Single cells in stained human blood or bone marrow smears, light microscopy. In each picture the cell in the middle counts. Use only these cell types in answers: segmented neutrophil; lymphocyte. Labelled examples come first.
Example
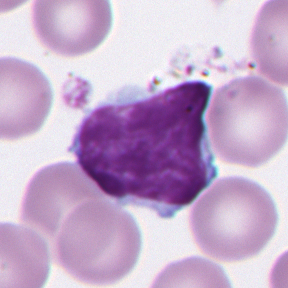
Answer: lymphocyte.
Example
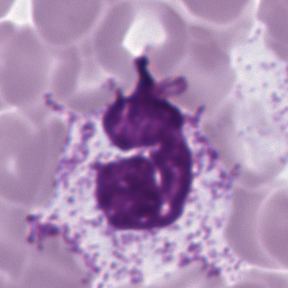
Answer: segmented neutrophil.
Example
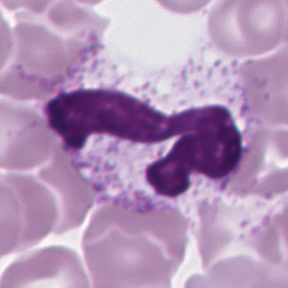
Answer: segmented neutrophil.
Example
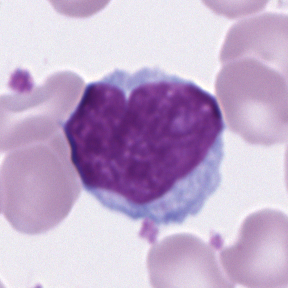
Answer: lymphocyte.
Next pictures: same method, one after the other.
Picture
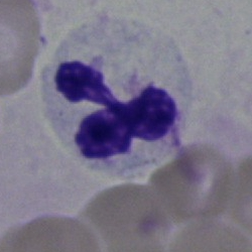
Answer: segmented neutrophil.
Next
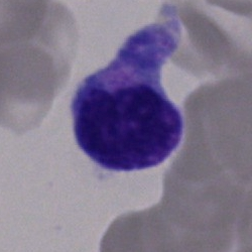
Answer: lymphocyte.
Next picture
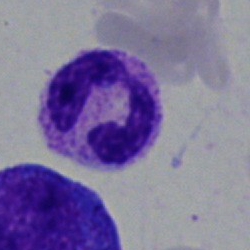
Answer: segmented neutrophil.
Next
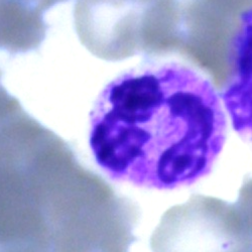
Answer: segmented neutrophil.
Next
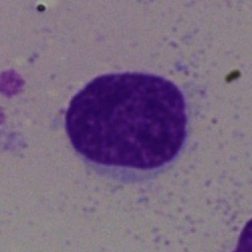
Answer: lymphocyte.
